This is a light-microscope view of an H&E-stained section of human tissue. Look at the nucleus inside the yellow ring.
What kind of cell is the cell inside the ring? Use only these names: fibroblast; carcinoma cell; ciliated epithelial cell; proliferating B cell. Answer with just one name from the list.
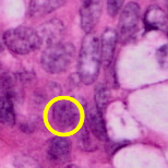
ciliated epithelial cell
